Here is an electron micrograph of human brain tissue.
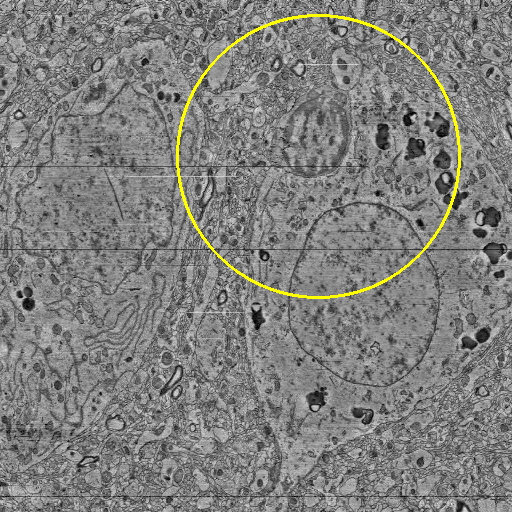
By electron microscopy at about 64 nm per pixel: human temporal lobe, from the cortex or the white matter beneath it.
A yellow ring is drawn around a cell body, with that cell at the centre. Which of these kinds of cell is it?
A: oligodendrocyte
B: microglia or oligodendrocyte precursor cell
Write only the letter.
A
